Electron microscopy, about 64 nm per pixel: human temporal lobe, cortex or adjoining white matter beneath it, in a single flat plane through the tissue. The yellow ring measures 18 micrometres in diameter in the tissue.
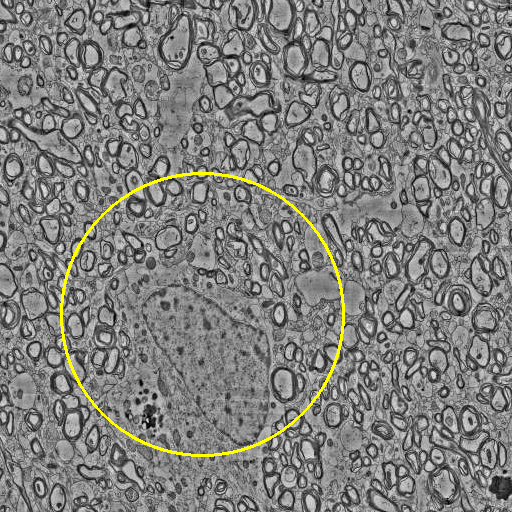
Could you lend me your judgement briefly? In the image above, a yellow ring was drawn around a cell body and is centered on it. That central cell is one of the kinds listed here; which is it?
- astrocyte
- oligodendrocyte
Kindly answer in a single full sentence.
Going by the list, an astrocyte is the kind at the ring's center in the picture.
